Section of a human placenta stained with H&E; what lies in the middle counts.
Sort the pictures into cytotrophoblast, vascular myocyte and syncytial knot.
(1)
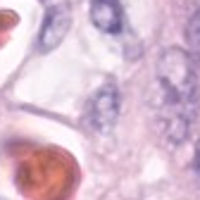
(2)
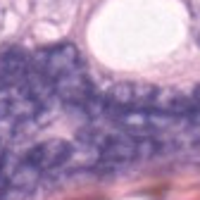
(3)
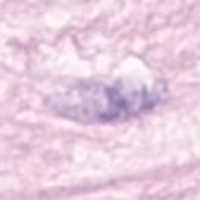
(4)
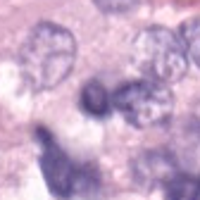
Cytotrophoblasts: 1
Syncytial knots: 2, 4
Vascular myocytes: 3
